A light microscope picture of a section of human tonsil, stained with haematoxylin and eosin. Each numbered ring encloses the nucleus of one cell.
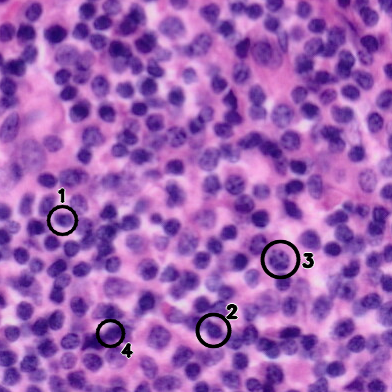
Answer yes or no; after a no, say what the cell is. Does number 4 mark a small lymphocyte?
Yes.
